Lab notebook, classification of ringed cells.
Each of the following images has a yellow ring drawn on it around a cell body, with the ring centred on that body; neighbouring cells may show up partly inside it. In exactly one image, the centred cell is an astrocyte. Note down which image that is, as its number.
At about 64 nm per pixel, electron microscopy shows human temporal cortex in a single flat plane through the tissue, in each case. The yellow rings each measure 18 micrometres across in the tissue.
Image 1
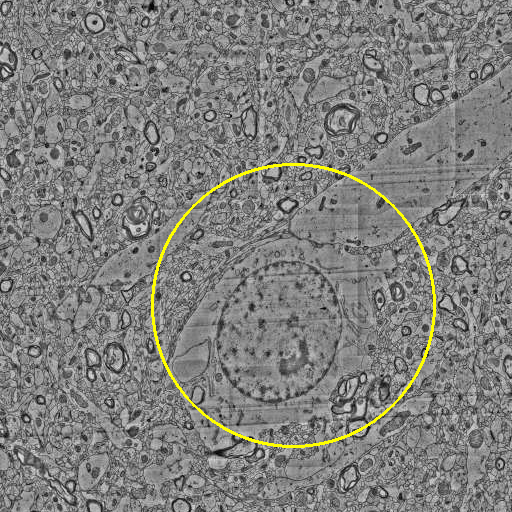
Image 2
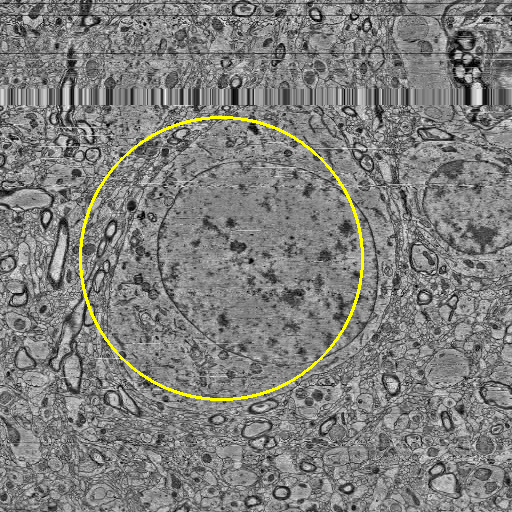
1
